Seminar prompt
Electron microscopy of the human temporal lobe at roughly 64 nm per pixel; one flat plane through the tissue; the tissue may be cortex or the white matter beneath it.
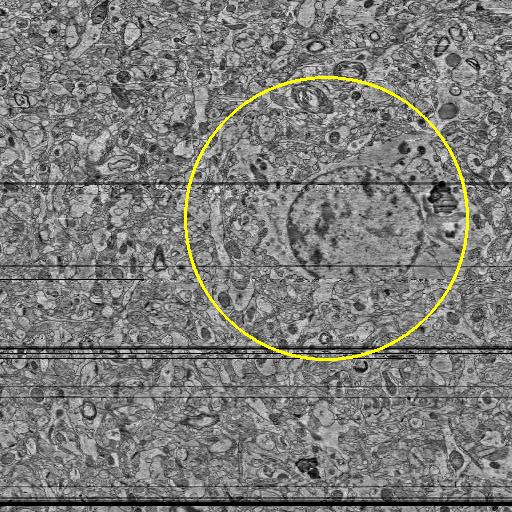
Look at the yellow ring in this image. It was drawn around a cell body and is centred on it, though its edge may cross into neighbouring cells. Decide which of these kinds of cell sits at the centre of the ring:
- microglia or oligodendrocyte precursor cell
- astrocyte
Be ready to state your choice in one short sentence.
The kind of cell at the ring's centre is an astrocyte.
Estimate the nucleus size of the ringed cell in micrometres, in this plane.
Roughly 8 micrometers across in this plane.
